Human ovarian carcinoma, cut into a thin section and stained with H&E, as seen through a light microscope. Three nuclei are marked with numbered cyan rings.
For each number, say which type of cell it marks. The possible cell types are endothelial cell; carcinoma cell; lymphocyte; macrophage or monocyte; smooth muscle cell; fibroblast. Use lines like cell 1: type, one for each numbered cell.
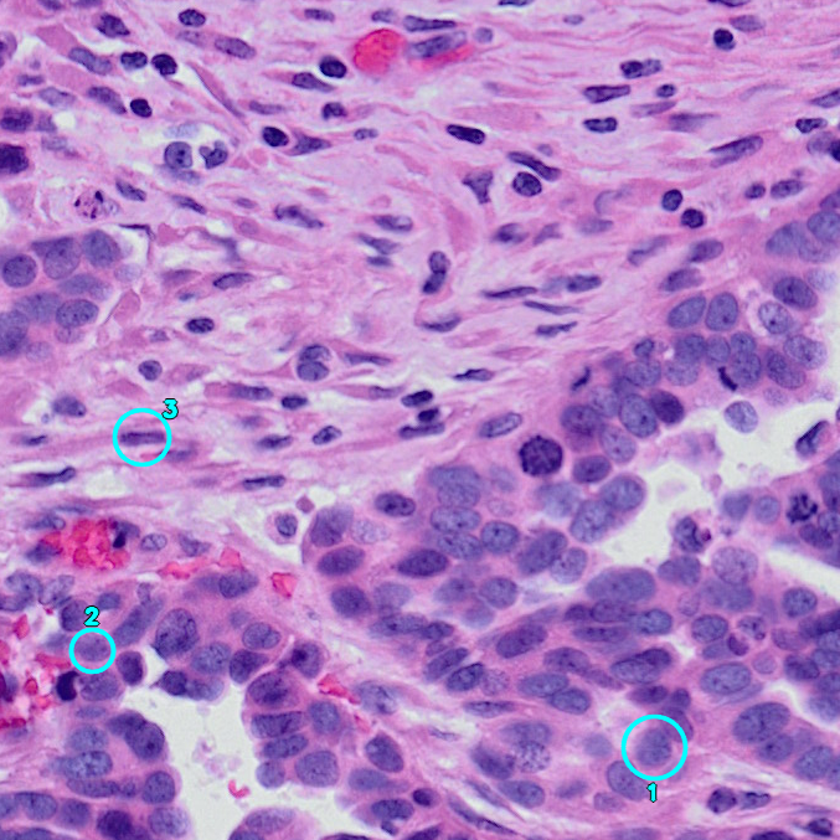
cell 1: carcinoma cell
cell 2: carcinoma cell
cell 3: fibroblast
